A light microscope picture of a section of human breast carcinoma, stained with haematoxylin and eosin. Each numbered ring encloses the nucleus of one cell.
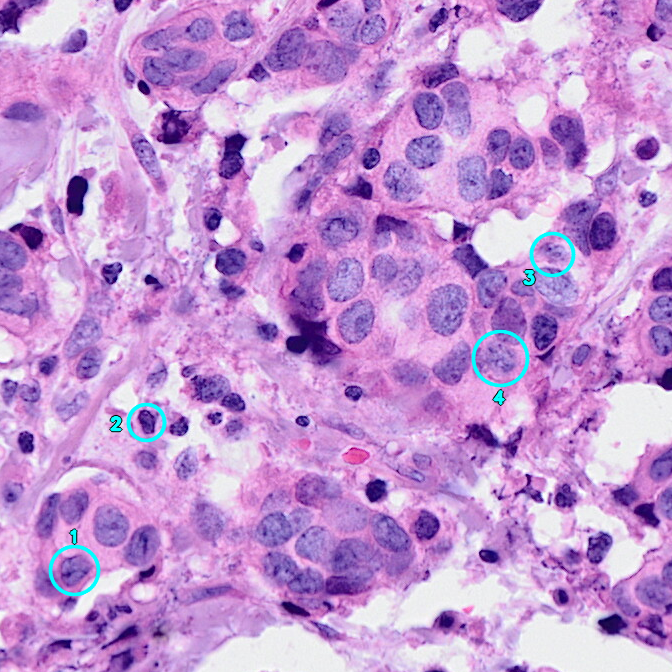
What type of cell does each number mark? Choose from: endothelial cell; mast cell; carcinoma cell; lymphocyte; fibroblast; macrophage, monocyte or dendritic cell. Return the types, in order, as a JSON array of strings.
["carcinoma cell", "lymphocyte", "carcinoma cell", "carcinoma cell"]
